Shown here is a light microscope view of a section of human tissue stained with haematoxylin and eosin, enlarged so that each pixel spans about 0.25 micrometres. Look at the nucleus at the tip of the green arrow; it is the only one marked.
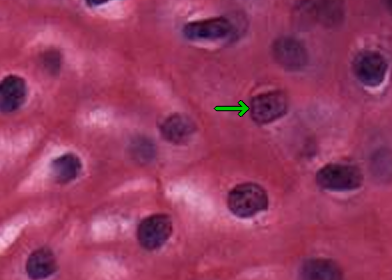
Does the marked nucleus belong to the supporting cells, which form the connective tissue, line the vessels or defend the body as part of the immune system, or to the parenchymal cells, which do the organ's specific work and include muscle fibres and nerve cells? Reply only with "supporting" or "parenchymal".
parenchymal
